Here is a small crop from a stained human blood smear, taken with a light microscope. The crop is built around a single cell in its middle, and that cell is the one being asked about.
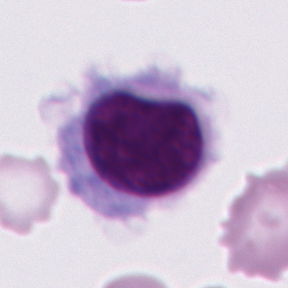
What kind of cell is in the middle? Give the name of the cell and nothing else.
hairy cell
